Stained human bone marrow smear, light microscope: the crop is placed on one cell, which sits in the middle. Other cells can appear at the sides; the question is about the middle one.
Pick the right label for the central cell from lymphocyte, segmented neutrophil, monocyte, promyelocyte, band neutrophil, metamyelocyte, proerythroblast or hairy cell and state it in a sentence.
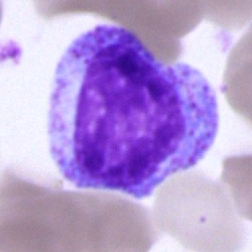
The cell shown in the center of this light-microscope crop is a promyelocyte.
